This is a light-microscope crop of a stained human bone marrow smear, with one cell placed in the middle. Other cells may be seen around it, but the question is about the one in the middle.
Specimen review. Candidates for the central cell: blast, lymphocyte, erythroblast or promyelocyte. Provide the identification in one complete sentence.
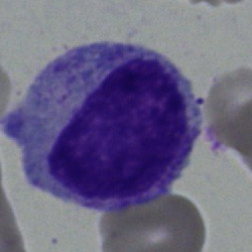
As for the cell in the middle, it is a promyelocyte.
